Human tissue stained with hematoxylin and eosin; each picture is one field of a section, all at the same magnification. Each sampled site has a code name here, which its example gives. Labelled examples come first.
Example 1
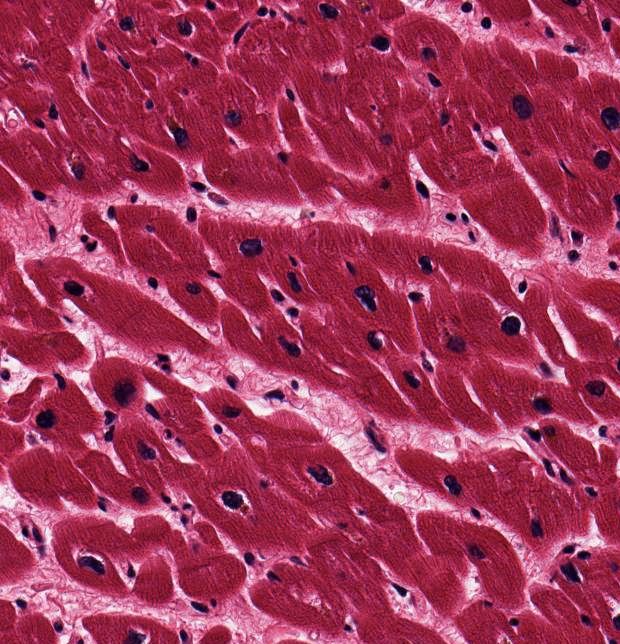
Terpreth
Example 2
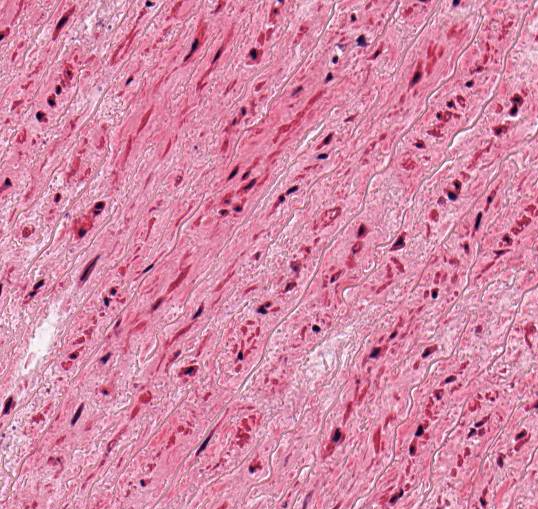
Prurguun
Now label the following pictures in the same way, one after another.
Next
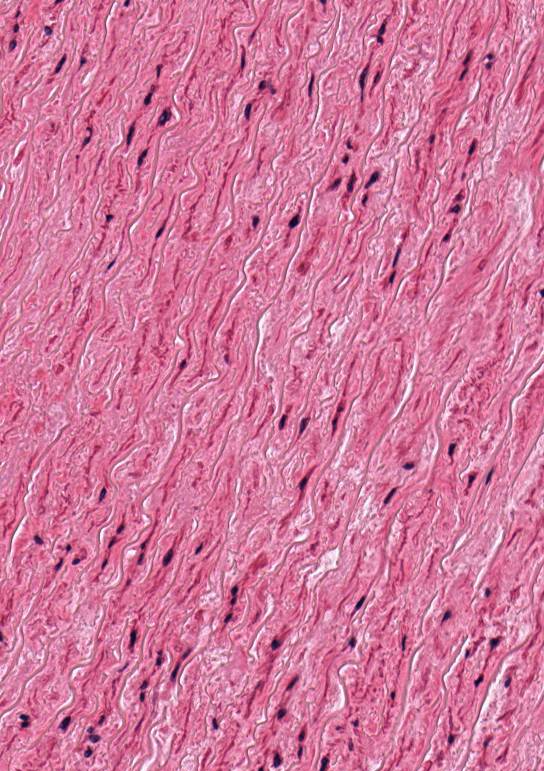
Prurguun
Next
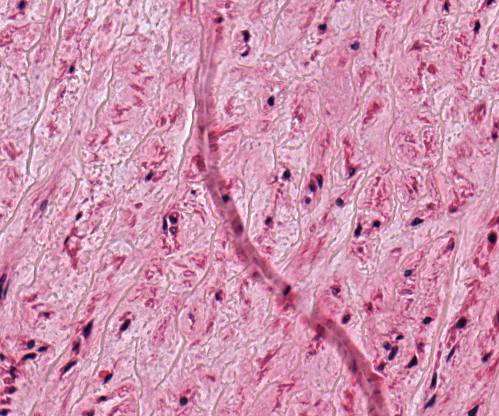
Prurguun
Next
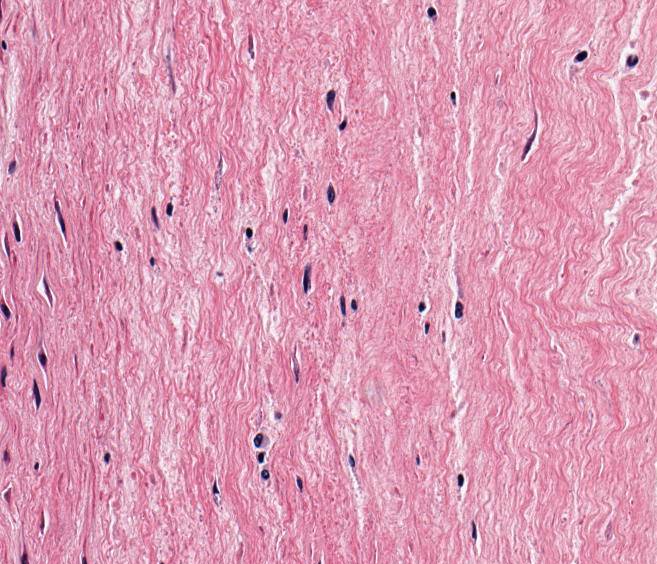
Prurguun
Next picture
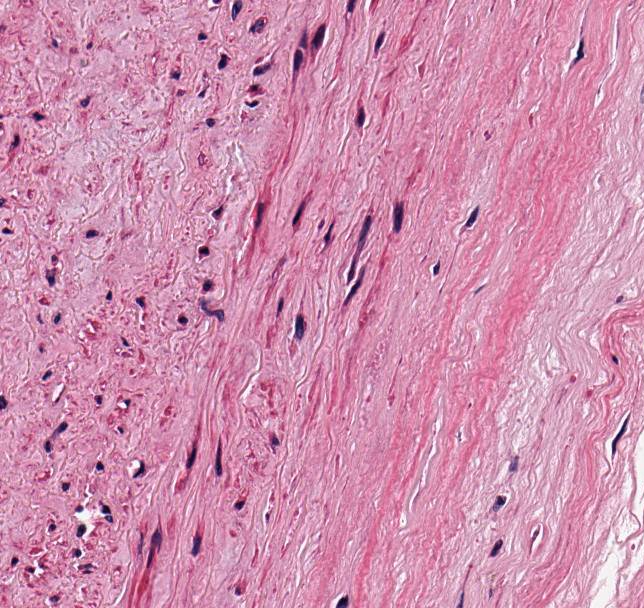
Prurguun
